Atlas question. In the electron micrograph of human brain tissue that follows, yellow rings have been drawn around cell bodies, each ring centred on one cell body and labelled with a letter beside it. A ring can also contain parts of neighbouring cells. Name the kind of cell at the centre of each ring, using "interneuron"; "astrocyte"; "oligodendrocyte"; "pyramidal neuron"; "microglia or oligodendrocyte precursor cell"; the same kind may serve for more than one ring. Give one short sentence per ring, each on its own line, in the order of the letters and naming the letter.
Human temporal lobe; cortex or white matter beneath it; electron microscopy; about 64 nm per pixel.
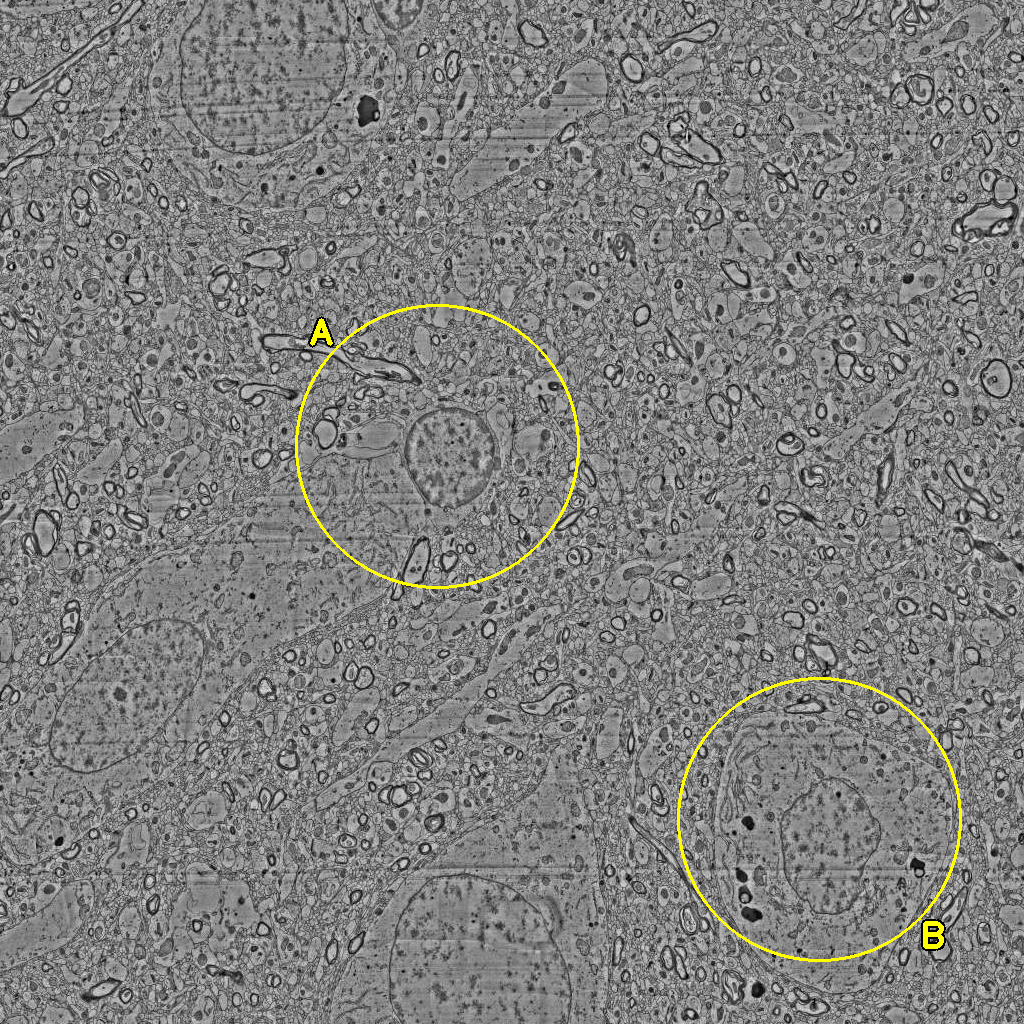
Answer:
For ring A, the cell at the centre is an oligodendrocyte.
For ring B, the cell at the centre is a pyramidal neuron.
